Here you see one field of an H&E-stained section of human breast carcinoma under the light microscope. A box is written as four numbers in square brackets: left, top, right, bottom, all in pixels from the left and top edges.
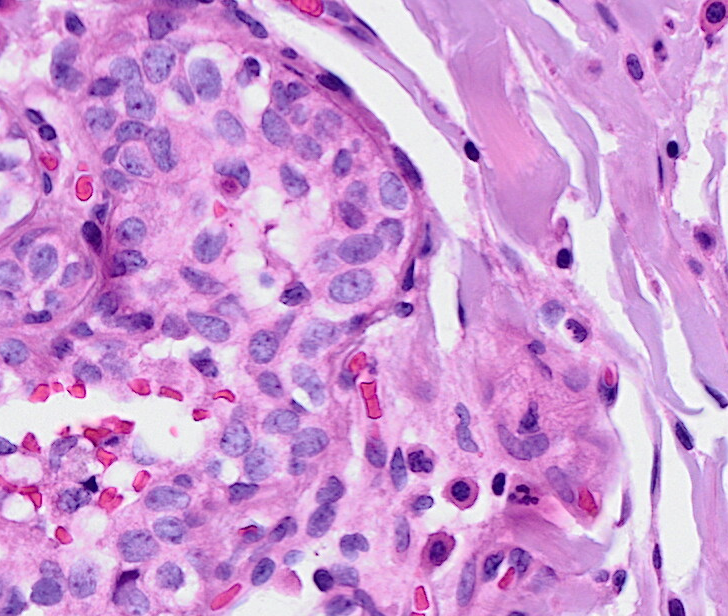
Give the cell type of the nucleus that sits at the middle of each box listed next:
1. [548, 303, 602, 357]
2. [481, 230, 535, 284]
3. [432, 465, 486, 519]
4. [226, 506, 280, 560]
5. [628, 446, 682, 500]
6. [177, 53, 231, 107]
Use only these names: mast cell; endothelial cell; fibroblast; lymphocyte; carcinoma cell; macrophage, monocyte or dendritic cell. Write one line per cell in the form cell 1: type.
cell 1: macrophage, monocyte or dendritic cell
cell 2: fibroblast
cell 3: mast cell
cell 4: endothelial cell
cell 5: fibroblast
cell 6: carcinoma cell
